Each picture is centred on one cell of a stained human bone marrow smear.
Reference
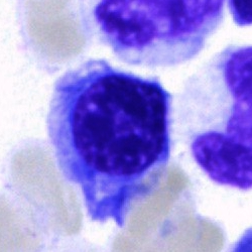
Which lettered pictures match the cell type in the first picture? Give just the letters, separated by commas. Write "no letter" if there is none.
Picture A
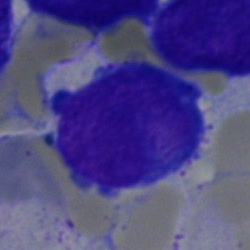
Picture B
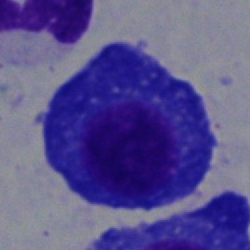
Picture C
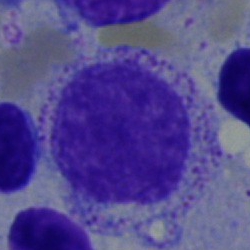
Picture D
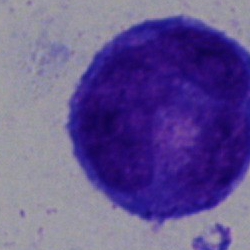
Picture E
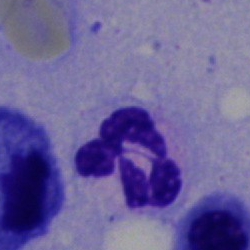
no letter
